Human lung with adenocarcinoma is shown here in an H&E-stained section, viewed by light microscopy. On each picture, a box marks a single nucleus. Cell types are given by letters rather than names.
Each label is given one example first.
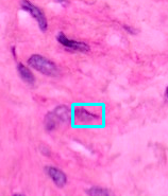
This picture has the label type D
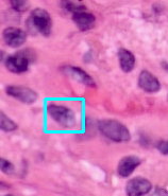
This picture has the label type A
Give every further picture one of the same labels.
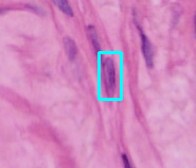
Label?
type D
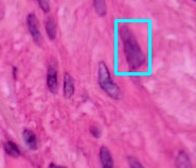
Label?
type D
